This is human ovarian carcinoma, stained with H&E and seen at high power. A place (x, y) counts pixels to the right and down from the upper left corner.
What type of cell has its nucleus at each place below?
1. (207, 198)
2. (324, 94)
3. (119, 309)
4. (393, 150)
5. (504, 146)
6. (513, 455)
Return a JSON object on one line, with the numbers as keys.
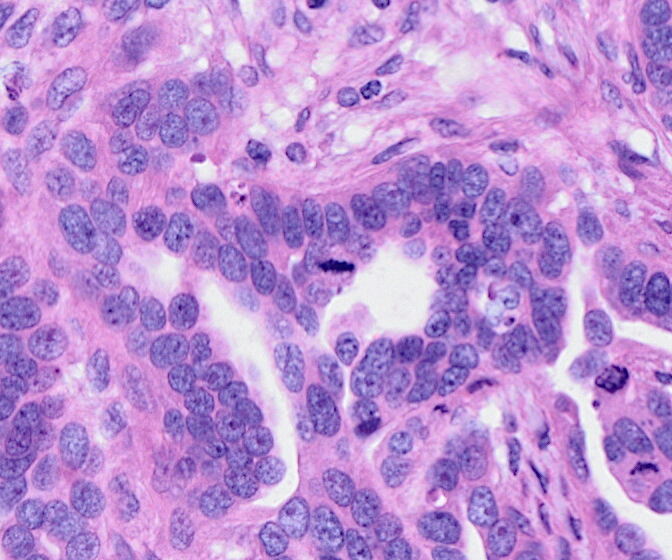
{"1": "carcinoma cell", "2": "fibroblast", "3": "carcinoma cell", "4": "fibroblast", "5": "fibroblast", "6": "fibroblast"}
